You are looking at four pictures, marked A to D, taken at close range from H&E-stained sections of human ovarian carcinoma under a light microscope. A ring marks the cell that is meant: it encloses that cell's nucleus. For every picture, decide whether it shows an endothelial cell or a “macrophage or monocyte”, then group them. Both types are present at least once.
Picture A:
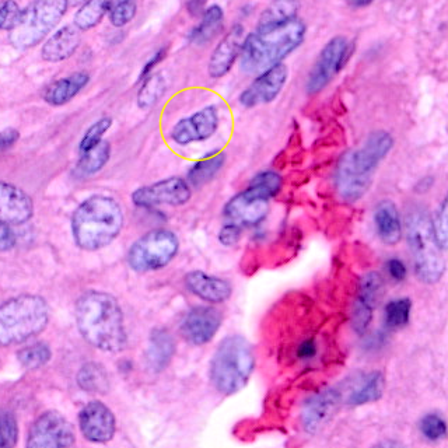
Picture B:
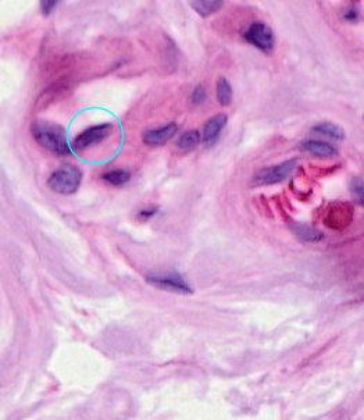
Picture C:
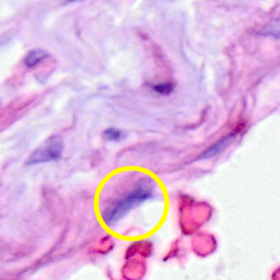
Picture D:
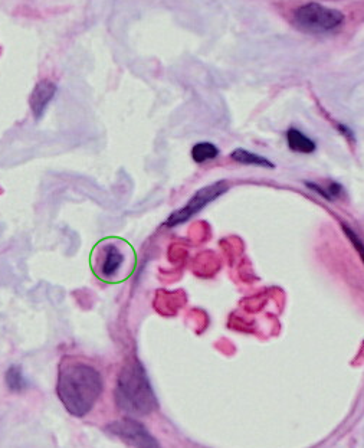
A: macrophage or monocyte
B: endothelial cell
C: endothelial cell
D: macrophage or monocyte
